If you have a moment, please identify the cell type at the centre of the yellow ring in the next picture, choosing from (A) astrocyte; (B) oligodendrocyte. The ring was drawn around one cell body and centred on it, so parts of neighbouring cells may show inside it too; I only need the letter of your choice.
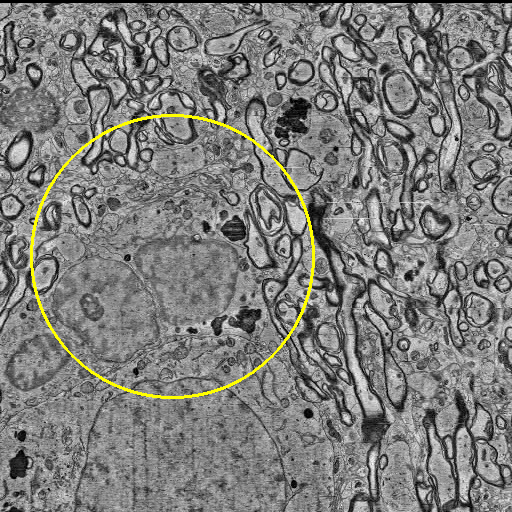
B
